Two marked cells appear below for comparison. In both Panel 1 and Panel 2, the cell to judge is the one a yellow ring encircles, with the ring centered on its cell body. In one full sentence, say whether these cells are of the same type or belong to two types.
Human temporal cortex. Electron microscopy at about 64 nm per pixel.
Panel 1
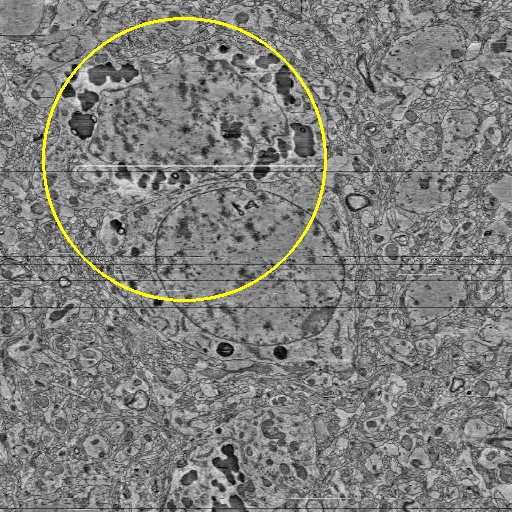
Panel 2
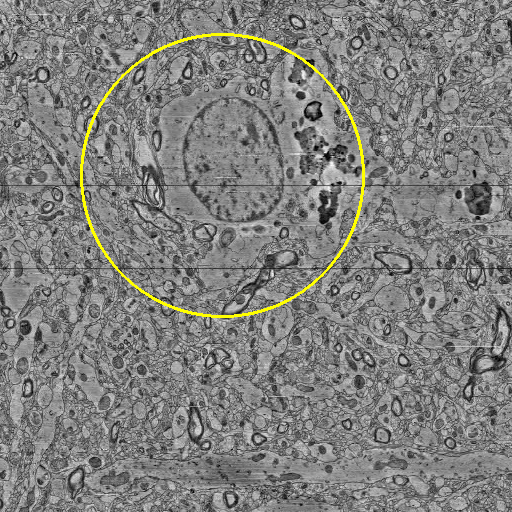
The cell centered in the Panel 1 ring and the one in Panel 2 belong to two types.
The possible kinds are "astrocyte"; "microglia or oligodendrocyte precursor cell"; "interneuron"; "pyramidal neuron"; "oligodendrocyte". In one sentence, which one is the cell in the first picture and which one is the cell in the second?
The cell ringed in the second picture is an astrocyte, whereas the one ringed in the first is an interneuron.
